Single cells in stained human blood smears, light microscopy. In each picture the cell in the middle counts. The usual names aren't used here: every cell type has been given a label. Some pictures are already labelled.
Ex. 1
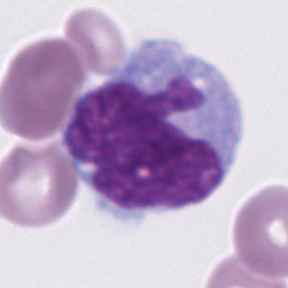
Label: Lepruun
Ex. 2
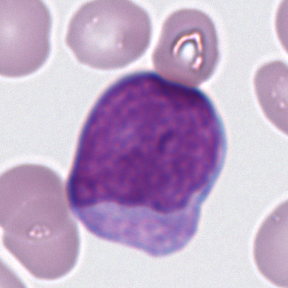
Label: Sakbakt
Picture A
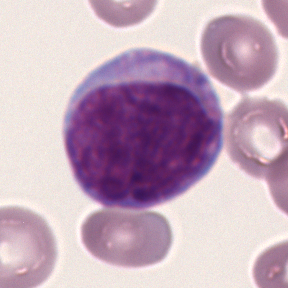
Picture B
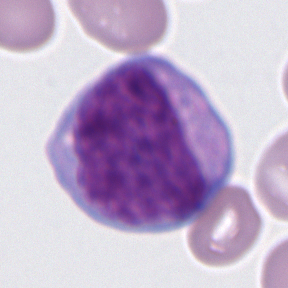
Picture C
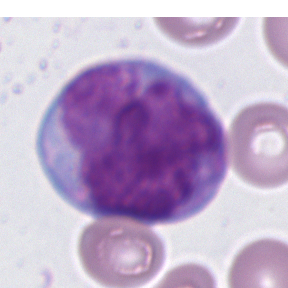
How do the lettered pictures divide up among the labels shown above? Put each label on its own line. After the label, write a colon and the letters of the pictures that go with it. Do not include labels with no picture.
Sakbakt: A, B, C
